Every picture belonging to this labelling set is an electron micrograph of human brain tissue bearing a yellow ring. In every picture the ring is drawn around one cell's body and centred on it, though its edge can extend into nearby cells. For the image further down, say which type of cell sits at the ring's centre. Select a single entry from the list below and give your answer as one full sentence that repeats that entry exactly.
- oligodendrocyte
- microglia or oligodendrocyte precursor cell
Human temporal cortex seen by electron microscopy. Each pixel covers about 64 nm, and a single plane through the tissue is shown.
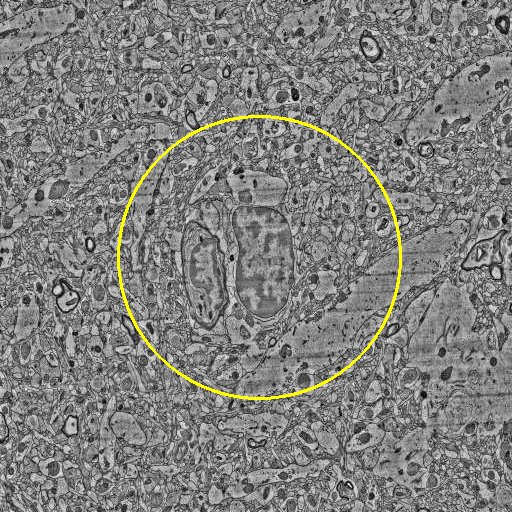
In the picture, a microglial cell or oligodendrocyte precursor cell is the cell at the centre of the yellow ring.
